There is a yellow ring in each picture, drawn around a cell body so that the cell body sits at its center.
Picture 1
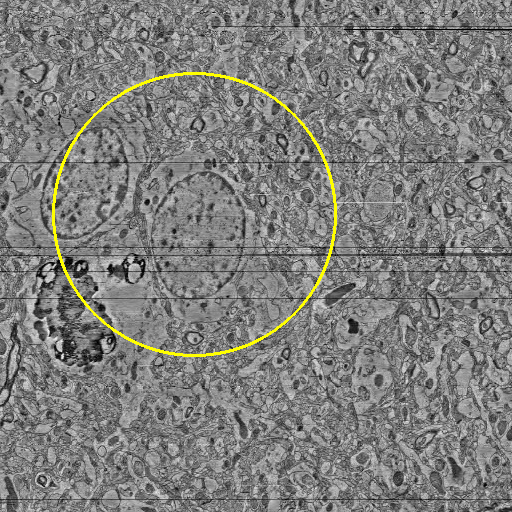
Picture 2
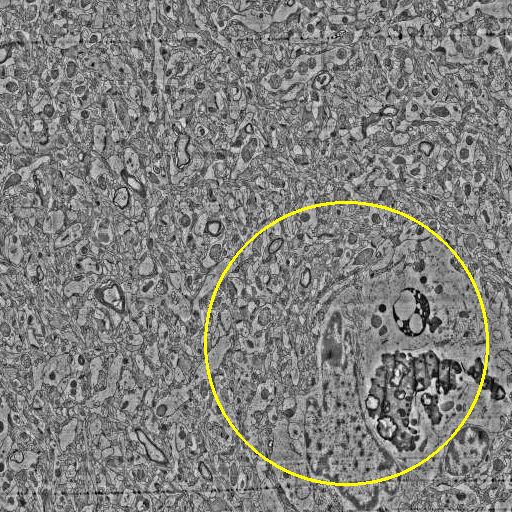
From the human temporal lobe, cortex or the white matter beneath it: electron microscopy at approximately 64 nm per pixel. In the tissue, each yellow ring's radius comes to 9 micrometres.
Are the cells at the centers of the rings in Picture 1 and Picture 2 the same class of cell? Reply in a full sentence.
No, the two cells are two classes of cell.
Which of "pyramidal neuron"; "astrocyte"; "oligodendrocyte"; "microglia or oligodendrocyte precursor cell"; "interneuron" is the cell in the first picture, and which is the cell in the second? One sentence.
The two differ: the first cell is an astrocyte and the second is a microglial cell or oligodendrocyte precursor cell.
